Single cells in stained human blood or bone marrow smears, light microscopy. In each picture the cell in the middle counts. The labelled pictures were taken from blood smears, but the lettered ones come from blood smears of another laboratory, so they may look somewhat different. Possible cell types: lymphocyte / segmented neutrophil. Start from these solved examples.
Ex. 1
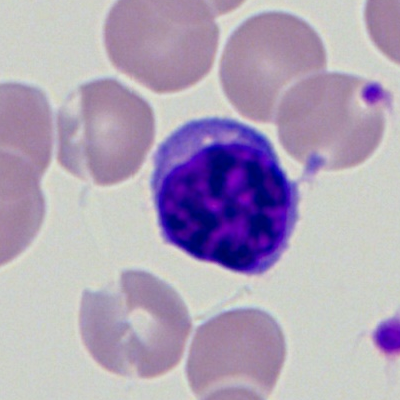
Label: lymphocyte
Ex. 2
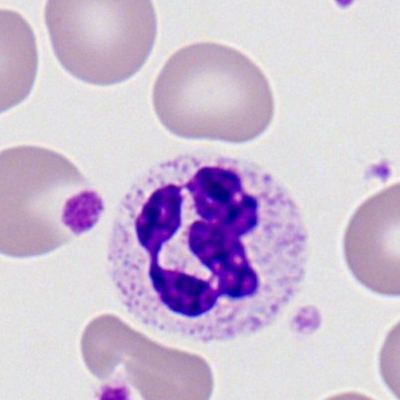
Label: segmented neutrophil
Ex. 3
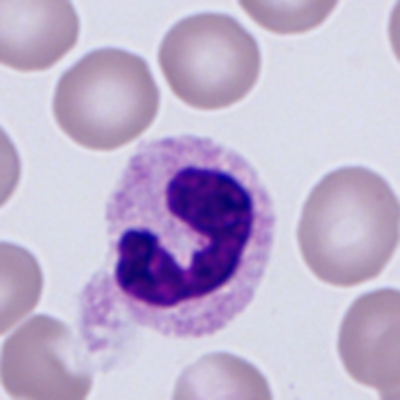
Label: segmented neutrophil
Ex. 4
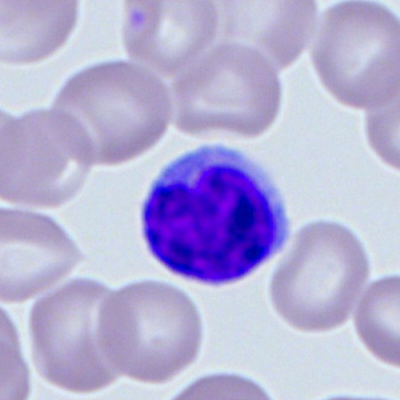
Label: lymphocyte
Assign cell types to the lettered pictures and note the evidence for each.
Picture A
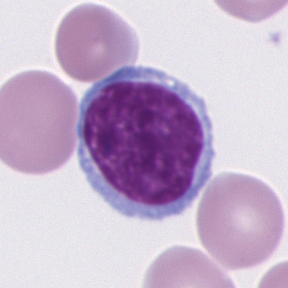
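Label: lymphocyte. The cytoplasm forms a narrow pale blue rim around the nucleus.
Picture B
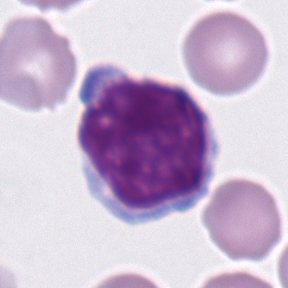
Label: lymphocyte. The cytoplasm forms a narrow pale blue rim around the nucleus.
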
